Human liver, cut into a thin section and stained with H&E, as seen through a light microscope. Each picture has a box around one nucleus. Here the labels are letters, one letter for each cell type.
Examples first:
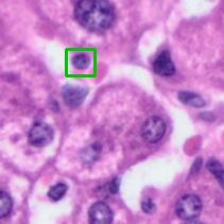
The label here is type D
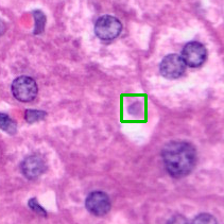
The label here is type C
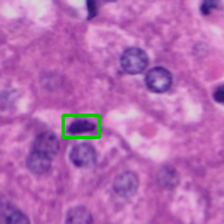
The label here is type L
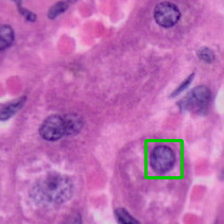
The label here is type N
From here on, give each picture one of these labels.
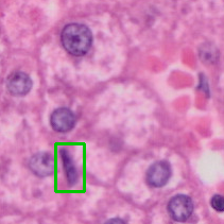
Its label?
type L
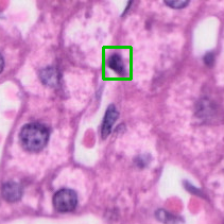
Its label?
type L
